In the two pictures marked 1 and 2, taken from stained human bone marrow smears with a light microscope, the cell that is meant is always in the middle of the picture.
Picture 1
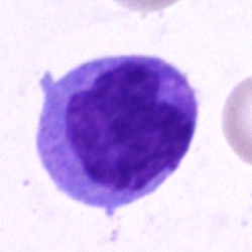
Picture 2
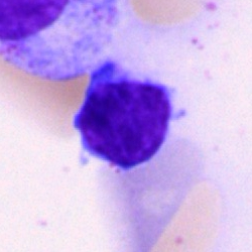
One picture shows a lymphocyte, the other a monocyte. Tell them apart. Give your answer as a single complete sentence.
Picture 1 shows a monocyte and picture 2 shows a lymphocyte.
